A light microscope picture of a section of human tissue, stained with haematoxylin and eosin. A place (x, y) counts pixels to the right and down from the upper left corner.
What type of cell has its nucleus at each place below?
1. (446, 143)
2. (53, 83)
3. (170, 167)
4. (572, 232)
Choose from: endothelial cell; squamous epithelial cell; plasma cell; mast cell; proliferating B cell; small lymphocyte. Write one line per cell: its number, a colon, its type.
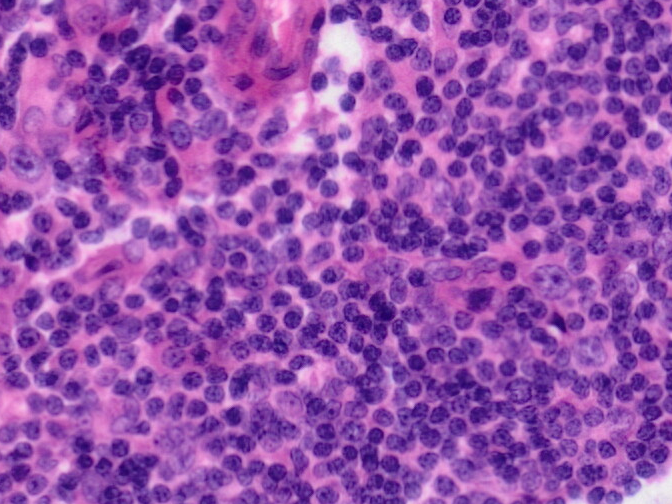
1: small lymphocyte
2: endothelial cell
3: small lymphocyte
4: small lymphocyte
